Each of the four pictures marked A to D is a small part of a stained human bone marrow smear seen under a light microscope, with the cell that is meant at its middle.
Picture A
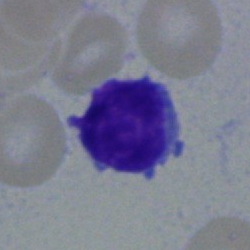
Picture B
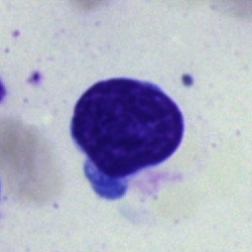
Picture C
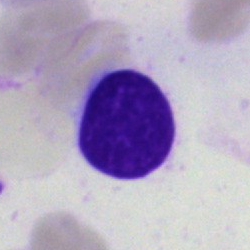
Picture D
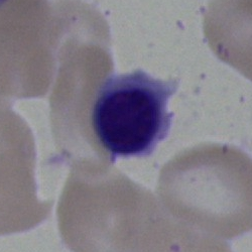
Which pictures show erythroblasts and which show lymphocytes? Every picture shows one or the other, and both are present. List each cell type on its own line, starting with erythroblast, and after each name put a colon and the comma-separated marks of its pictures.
erythroblast: D
lymphocyte: A, B, C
